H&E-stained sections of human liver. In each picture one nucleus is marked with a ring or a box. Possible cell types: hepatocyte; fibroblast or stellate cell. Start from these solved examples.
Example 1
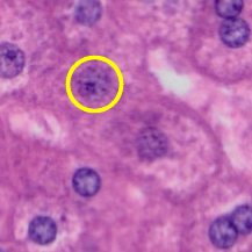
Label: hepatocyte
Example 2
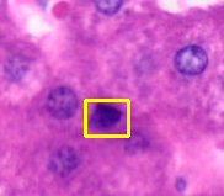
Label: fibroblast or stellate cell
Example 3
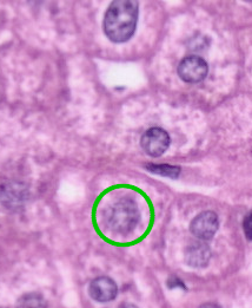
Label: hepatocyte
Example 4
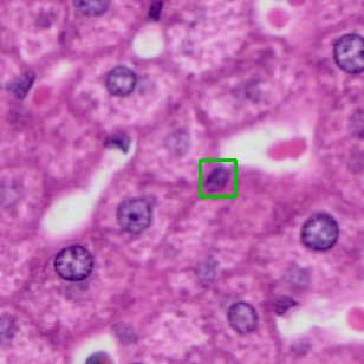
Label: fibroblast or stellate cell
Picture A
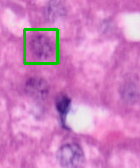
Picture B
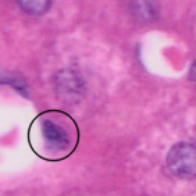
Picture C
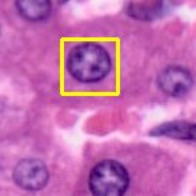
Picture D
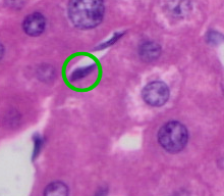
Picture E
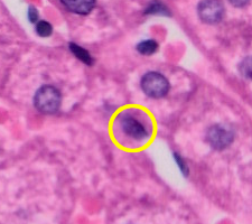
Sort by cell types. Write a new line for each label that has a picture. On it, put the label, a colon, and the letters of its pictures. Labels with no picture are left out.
hepatocyte: A, C
fibroblast or stellate cell: B, D, E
